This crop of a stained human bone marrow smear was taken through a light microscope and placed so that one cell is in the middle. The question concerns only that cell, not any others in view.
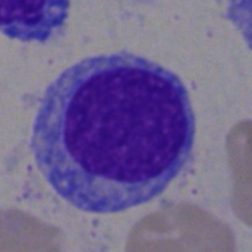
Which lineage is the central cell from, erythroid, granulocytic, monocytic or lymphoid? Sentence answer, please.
The cell at the center of the crop derives from the lymphoid lineage.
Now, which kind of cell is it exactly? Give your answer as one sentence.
Present in the middle of the crop is a lymphocyte.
